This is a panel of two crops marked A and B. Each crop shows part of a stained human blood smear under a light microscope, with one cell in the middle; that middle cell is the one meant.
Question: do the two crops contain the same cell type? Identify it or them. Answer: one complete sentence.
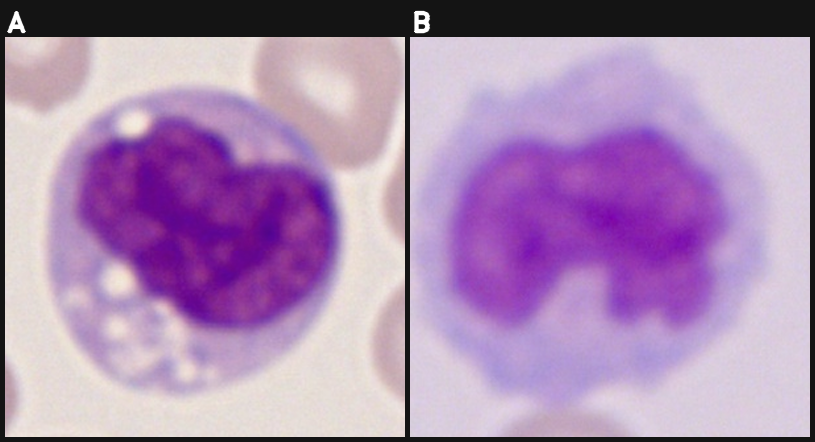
Yes, monocytes are the cells shown in both crops.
